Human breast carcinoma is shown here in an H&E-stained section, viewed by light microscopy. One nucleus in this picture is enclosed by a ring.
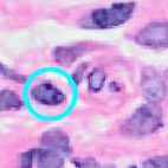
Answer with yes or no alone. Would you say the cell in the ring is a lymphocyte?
yes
